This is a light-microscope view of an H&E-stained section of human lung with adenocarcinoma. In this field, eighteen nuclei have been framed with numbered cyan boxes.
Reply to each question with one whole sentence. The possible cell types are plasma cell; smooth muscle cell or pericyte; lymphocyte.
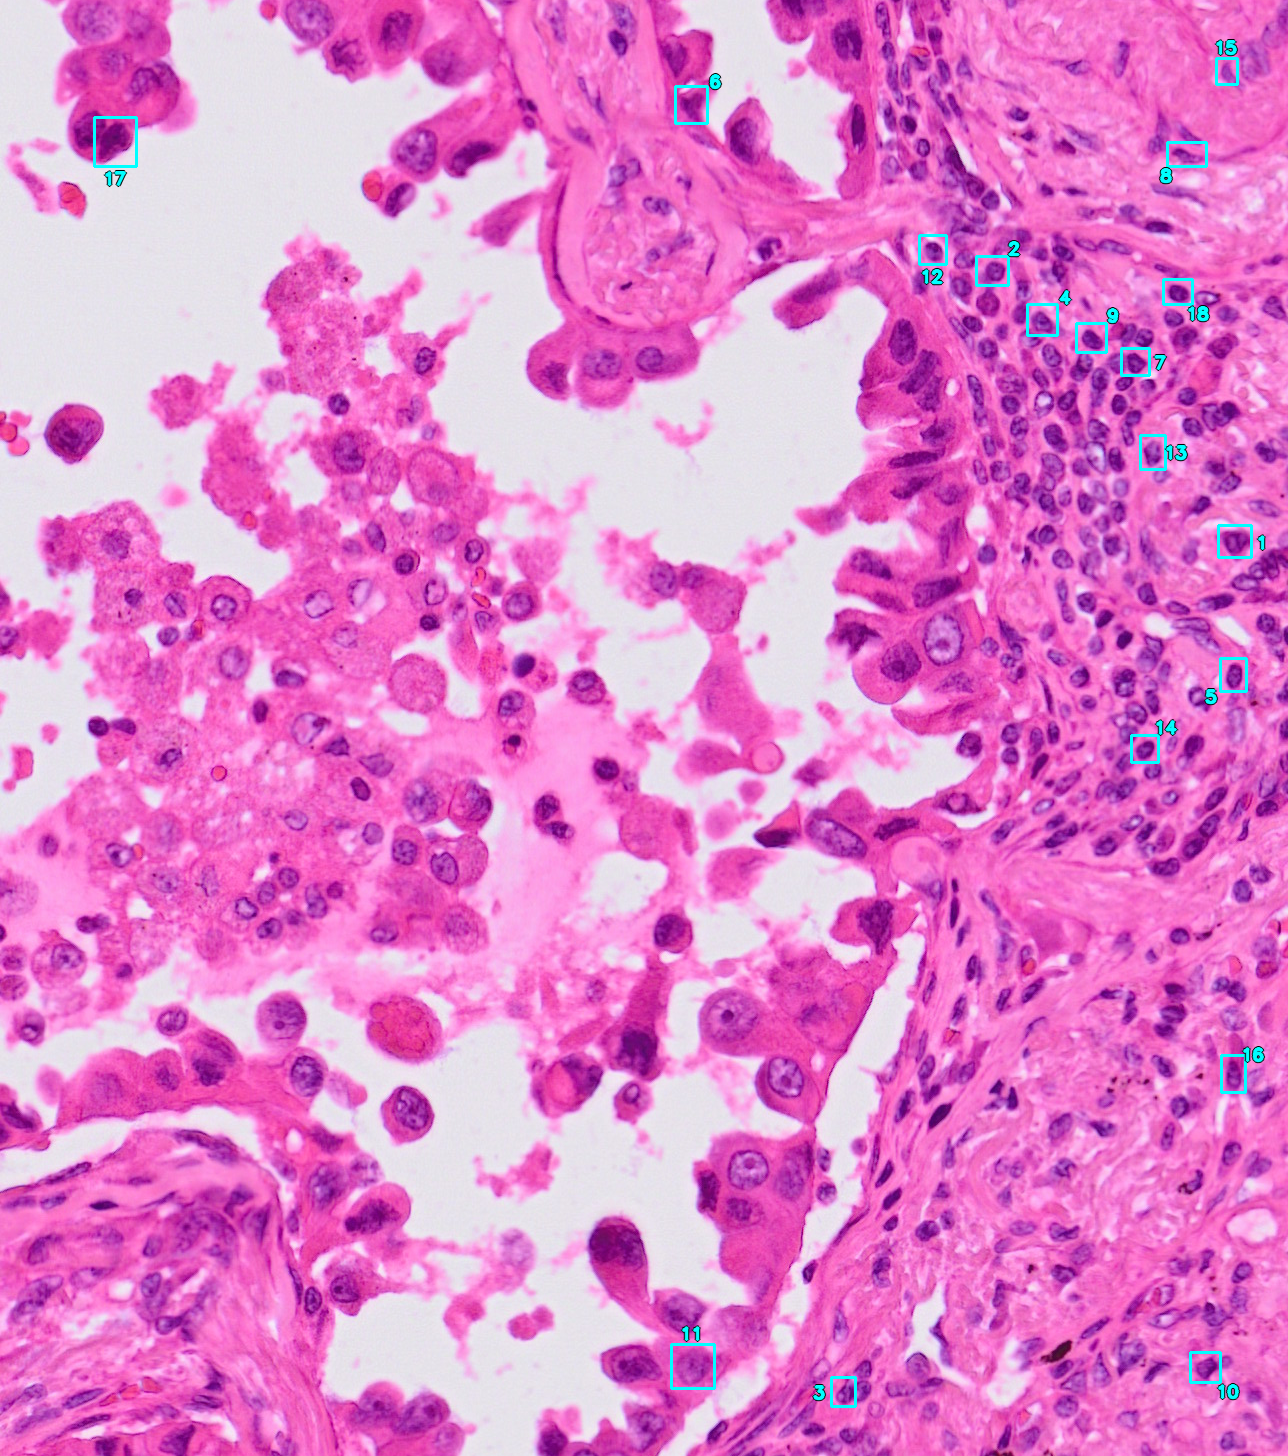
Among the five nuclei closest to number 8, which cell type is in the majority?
Smooth muscle cells or pericytes make up most of the five nuclei closest to number 8.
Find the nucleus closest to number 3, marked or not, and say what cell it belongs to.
The cell nearest to number 3 is a lymphocyte.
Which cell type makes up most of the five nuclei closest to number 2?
Around number 2, most of the five nearest nuclei are those of plasma cells.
